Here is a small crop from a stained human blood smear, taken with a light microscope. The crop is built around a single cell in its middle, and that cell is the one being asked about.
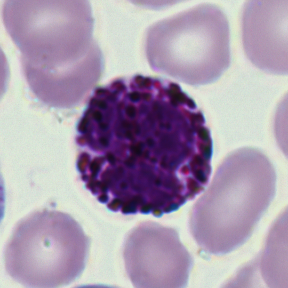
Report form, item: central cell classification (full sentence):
Present in the middle of the crop is a basophil.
